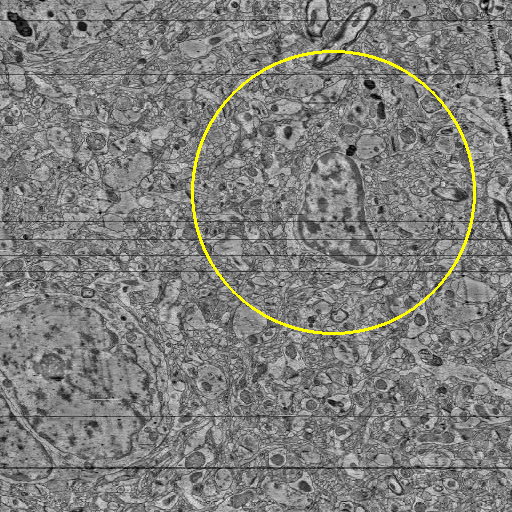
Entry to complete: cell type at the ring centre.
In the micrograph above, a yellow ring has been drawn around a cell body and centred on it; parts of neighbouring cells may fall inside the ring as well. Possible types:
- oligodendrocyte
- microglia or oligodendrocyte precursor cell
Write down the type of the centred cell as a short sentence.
The ring is centred on a microglial cell or oligodendrocyte precursor cell.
